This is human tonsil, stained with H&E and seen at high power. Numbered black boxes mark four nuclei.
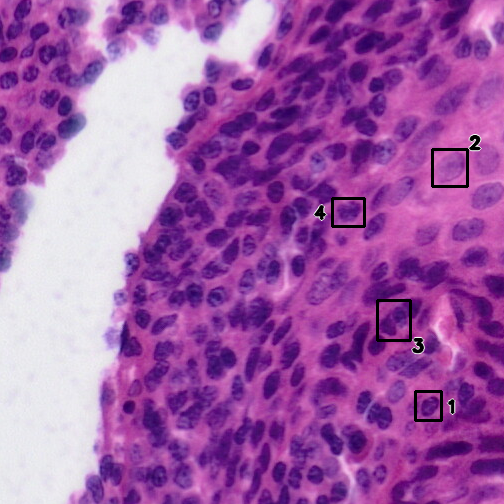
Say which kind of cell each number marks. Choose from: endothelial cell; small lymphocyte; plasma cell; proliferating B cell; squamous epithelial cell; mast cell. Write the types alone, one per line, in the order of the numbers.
plasma cell
squamous epithelial cell
squamous epithelial cell
squamous epithelial cell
